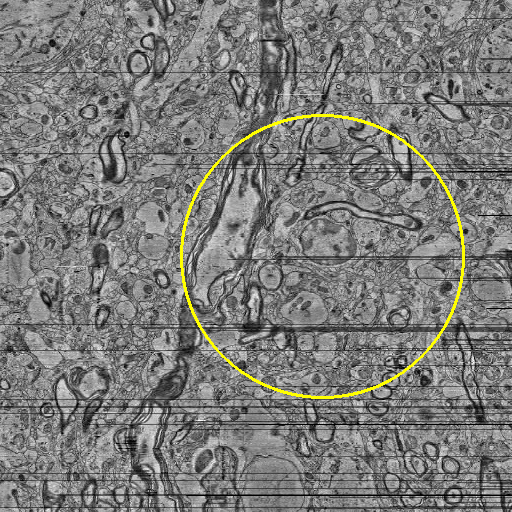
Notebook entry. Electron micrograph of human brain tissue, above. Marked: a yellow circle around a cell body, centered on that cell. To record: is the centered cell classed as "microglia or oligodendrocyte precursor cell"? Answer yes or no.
Yes, the centered cell is classed that way.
